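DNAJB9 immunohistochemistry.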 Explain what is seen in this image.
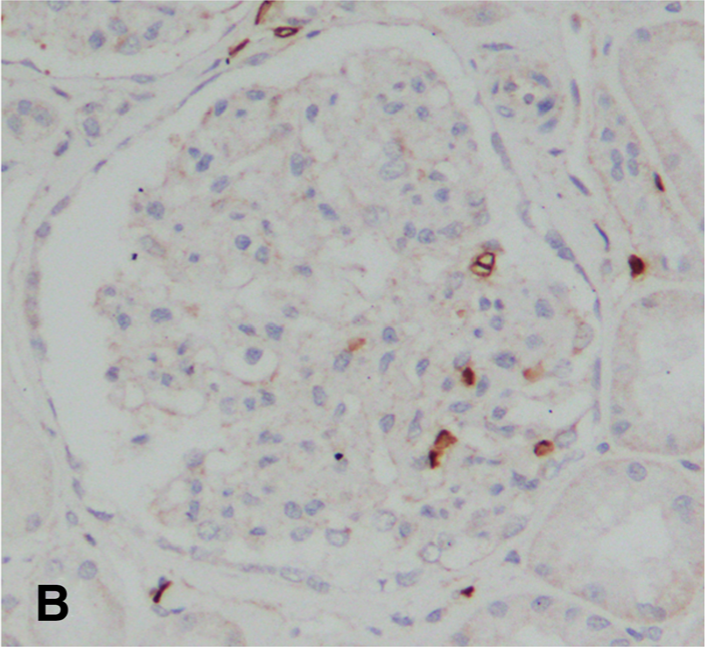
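A glomerulus lies within its capsule in a pale section with a blue nuclear counterstain, and its tuft of capillary loops holds many pale blue oval nuclei. A few scattered cells within the tuft and in the surrounding interstitium stain dark brown, while the tubules around the capsule stay pale.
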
